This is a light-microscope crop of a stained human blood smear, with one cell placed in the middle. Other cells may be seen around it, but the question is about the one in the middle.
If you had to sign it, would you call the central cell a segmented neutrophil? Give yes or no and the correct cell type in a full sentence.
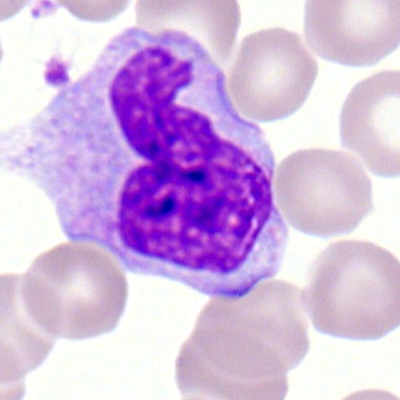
No, the cell in the middle is categorised as a monocyte, not a segmented neutrophil.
